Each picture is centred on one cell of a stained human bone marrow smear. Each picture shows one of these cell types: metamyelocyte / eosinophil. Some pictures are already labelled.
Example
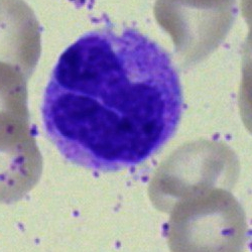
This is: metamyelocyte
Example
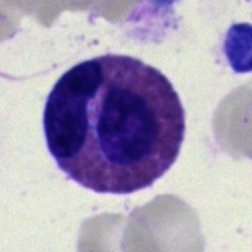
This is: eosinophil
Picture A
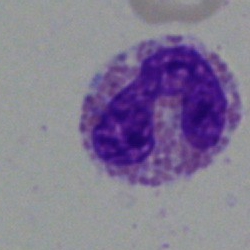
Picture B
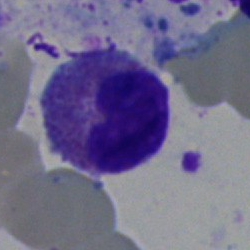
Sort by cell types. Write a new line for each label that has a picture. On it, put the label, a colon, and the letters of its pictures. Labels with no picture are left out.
eosinophil: A, B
